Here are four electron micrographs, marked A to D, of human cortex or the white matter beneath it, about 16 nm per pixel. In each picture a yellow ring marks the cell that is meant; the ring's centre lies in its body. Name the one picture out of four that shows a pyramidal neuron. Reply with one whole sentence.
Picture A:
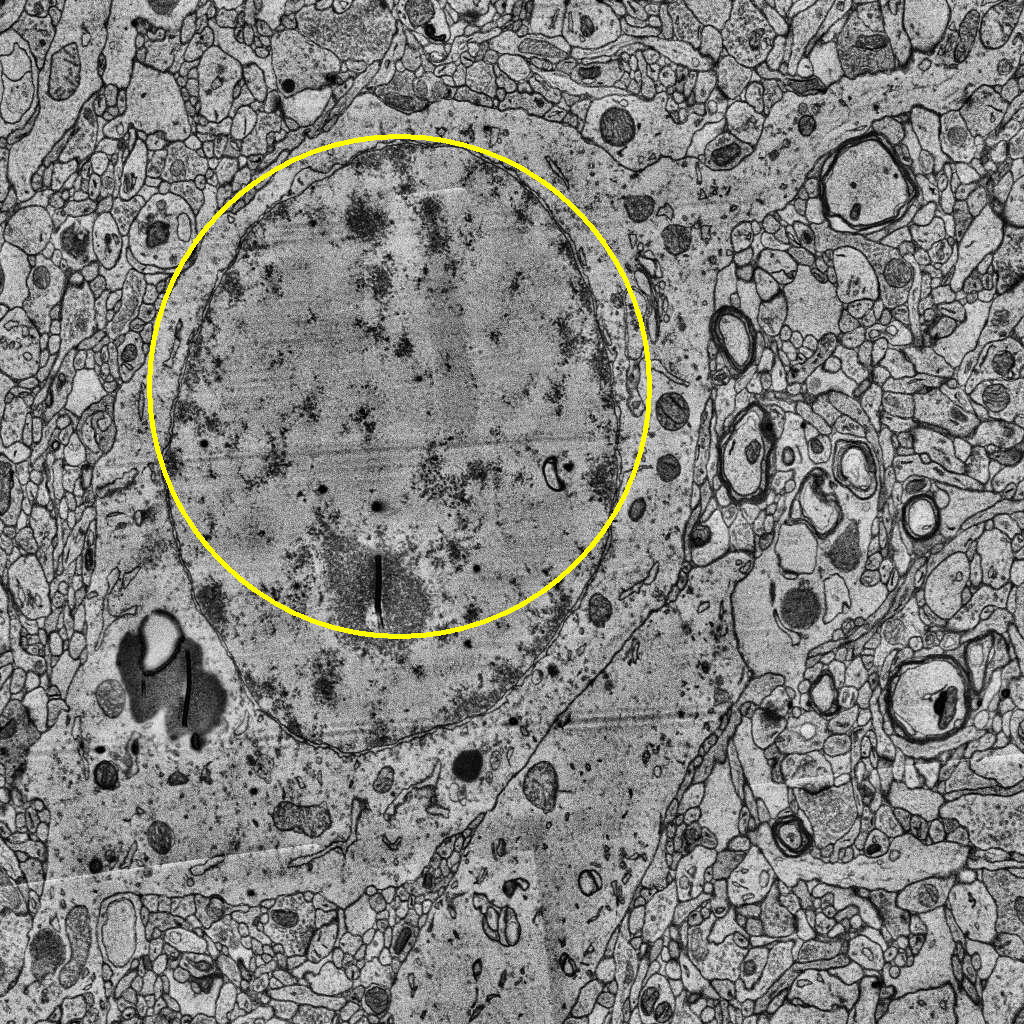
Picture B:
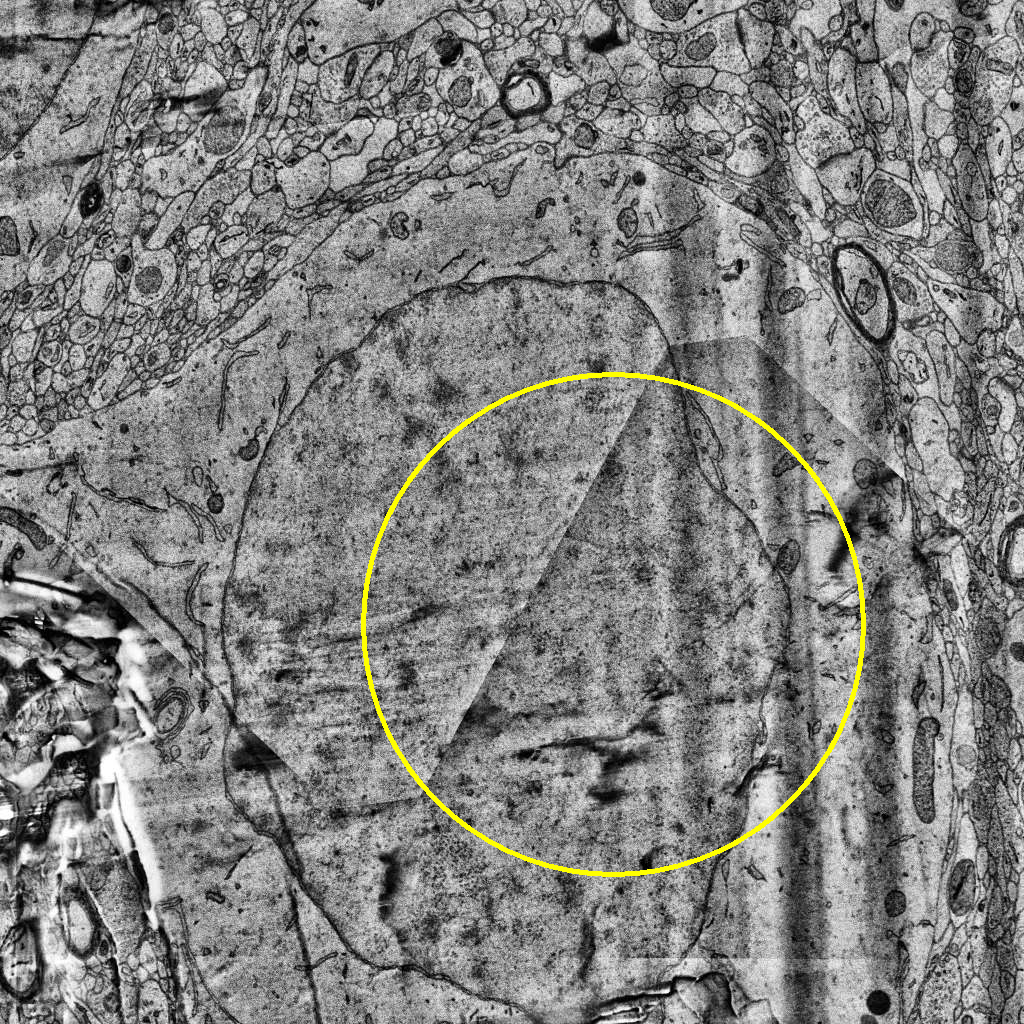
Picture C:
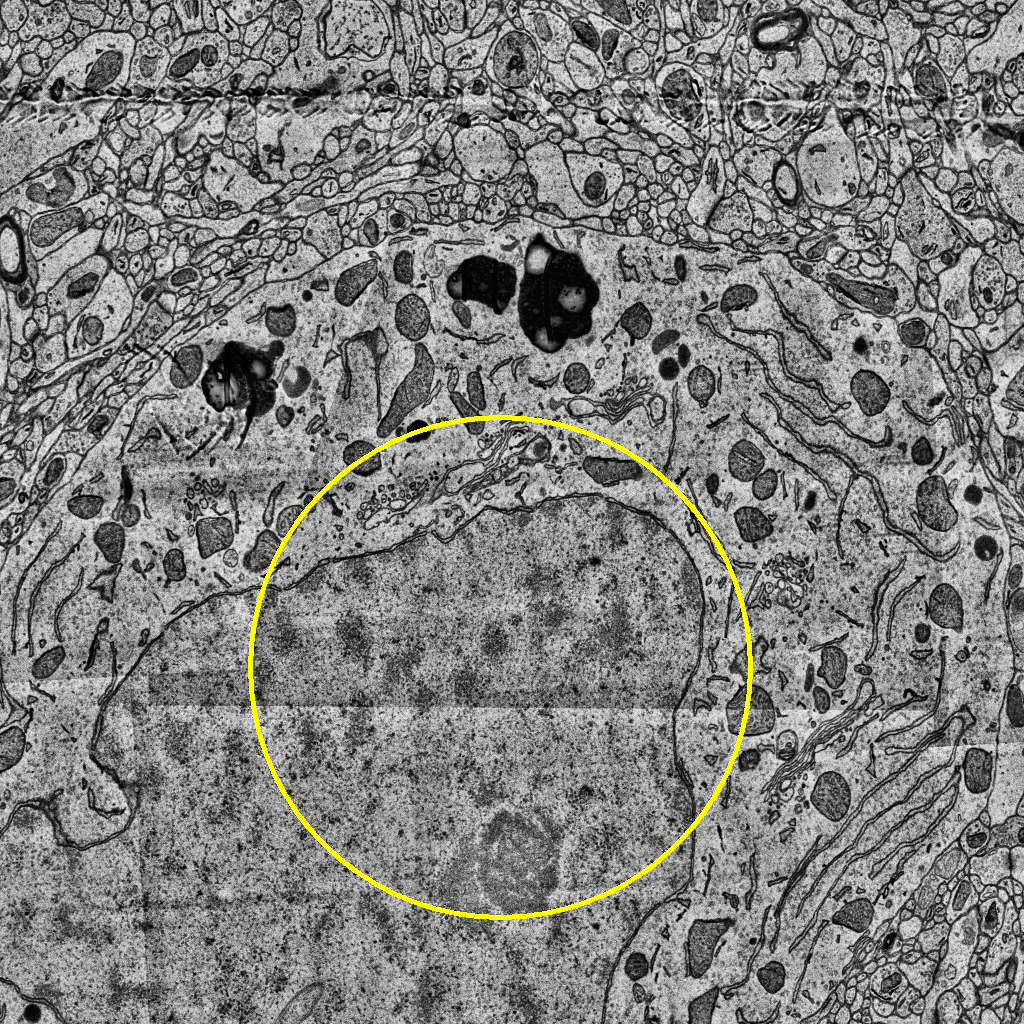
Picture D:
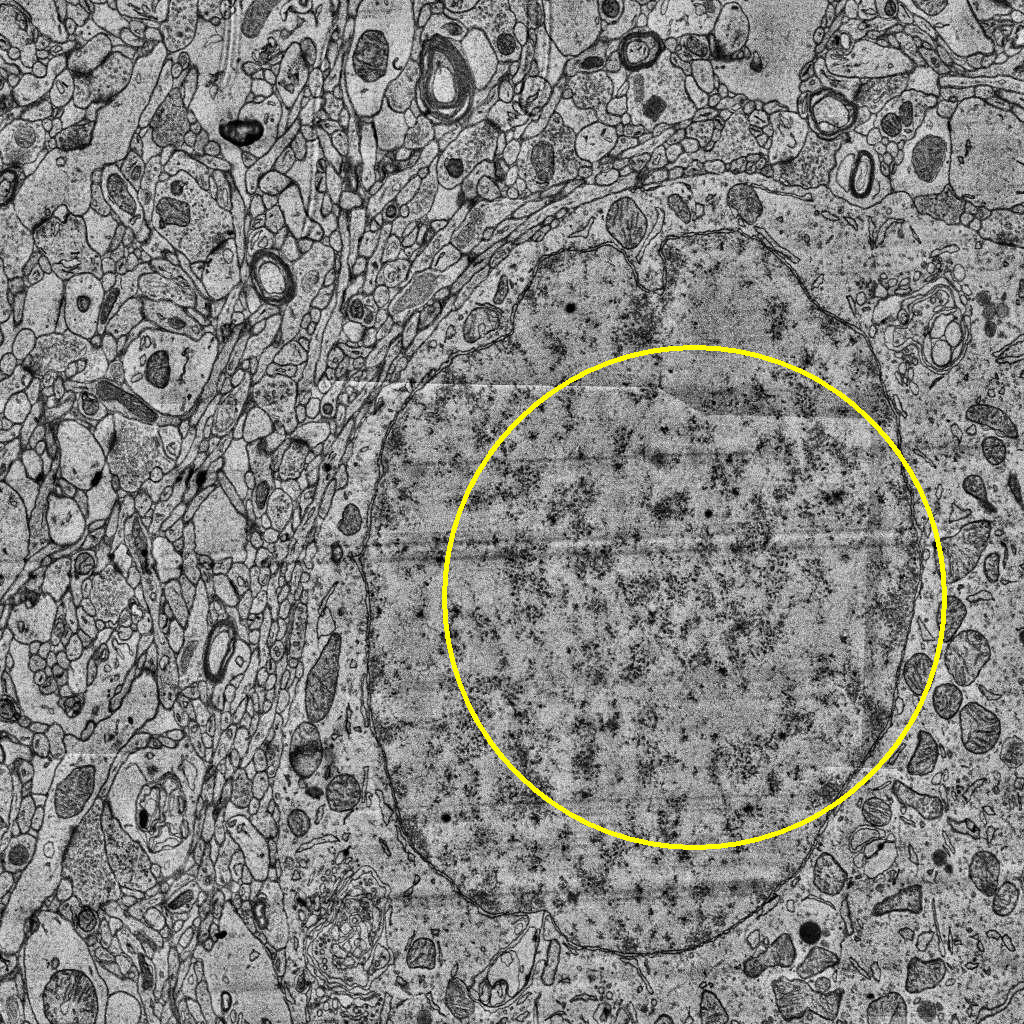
The picture with the pyramidal neuron is B.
